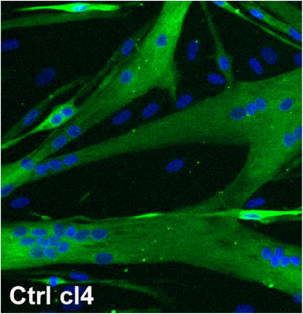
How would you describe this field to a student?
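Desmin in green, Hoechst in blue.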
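Broad, elongated cells filled with green cytoplasm run across the field, some wide and sheet-like, others narrower and tapering. Oval blue nuclei lie within them, several grouped in clusters inside single broad green cells, pointing to cells with many nuclei. Other nuclei sit alone in thinner or weakly green cells. The green fills the cytoplasm fairly evenly, with a few brighter small dots scattered across it.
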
